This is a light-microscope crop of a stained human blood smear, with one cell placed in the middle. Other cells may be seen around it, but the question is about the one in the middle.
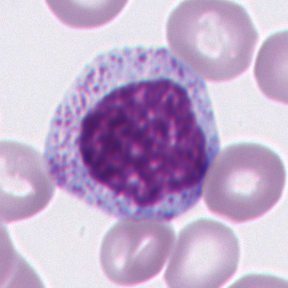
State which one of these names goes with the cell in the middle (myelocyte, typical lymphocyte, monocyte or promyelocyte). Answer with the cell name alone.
myelocyte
